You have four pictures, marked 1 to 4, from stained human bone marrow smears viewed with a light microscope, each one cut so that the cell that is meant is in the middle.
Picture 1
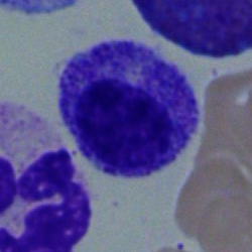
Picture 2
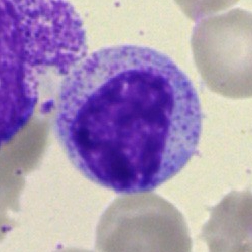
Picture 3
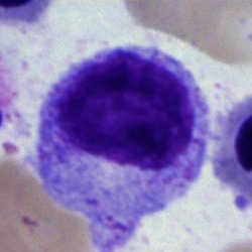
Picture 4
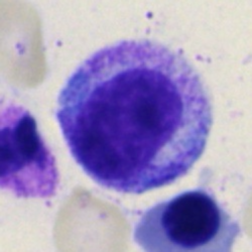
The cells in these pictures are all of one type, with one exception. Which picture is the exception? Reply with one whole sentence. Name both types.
The different one is picture 4; it shows a promyelocyte, whereas all the others show myelocytes.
